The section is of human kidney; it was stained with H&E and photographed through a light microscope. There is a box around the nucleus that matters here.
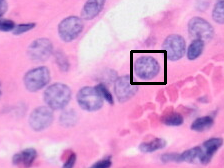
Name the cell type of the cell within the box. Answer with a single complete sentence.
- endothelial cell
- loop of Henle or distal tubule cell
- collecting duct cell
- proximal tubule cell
For the purposes of cell typing, the cell within the box is categorized as a collecting duct cell.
